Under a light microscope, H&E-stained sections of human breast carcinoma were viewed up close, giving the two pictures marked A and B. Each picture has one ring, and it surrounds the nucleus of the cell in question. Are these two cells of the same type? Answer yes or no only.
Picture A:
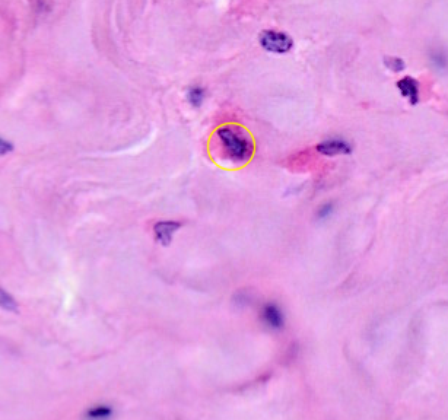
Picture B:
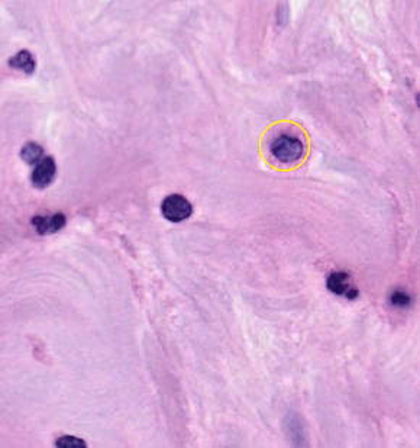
yes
